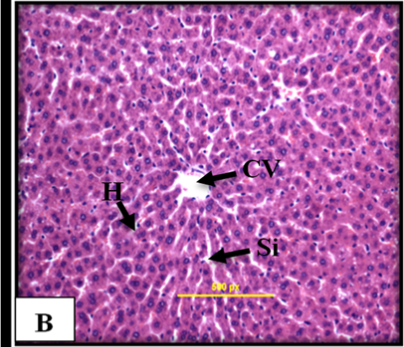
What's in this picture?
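This is liver, with hepatocytes arranged in cords around a central vein. The central vein is a clear opening near the middle of the field, and the plates of hepatocytes radiate outward from it like spokes. Each hepatocyte is polygonal, with pink cytoplasm and a round, centrally placed purple nucleus. Between the plates run narrow pale channels, the sinusoids, which converge on the central vein.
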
